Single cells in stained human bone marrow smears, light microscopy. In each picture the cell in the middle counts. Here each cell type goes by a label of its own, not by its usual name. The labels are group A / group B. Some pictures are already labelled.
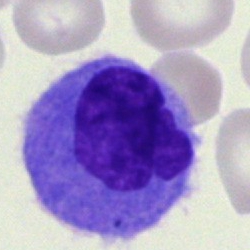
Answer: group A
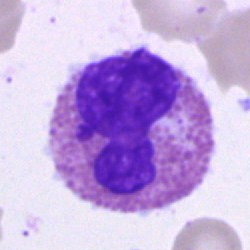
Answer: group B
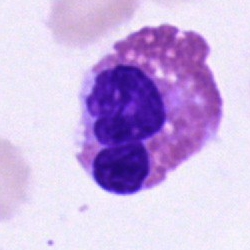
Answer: group B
